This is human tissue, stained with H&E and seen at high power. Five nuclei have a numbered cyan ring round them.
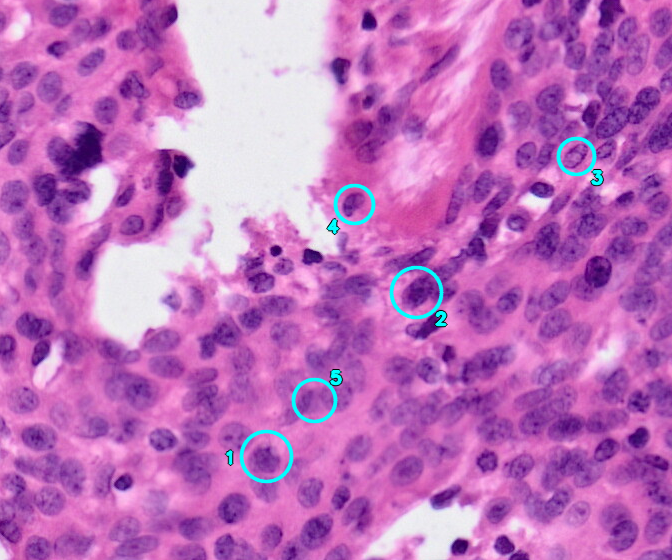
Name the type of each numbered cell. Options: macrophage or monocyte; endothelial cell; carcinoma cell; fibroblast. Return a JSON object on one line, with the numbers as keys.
{"1": "carcinoma cell", "2": "carcinoma cell", "3": "macrophage or monocyte", "4": "macrophage or monocyte", "5": "carcinoma cell"}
